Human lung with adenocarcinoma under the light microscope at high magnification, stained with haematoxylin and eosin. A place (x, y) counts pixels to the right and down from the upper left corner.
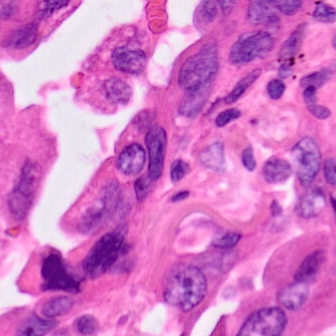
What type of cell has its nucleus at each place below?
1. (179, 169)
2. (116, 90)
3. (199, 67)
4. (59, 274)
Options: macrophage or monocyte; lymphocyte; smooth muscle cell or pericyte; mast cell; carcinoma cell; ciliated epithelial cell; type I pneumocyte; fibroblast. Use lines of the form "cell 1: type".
cell 1: lymphocyte
cell 2: carcinoma cell
cell 3: carcinoma cell
cell 4: carcinoma cell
